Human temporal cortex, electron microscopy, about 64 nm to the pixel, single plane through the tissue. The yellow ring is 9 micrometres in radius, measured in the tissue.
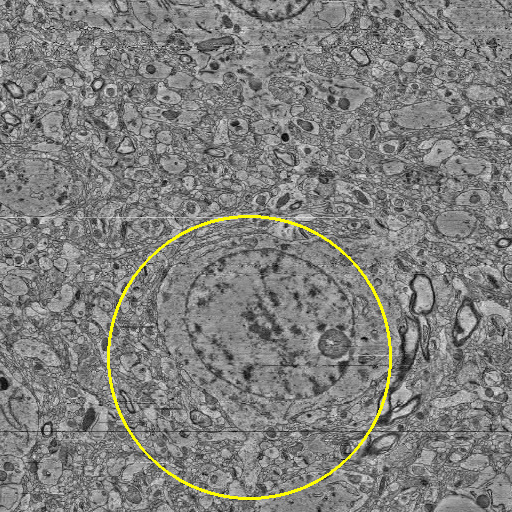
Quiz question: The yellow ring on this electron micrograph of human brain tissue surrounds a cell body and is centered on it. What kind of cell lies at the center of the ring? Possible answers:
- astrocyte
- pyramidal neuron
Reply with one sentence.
The ring's center lies on a pyramidal neuron.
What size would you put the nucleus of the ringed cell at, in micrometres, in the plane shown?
Approximately 11 x 10 micrometres in this plane.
